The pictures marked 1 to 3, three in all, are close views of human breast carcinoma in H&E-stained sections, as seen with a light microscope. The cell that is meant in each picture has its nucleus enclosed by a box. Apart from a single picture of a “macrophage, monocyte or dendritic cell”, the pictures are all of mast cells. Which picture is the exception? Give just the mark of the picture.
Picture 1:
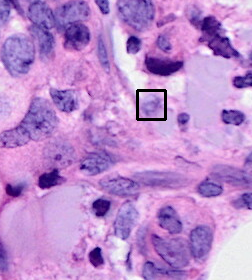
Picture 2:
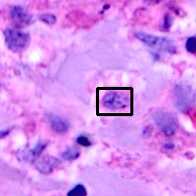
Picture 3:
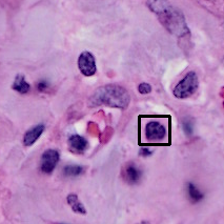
1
